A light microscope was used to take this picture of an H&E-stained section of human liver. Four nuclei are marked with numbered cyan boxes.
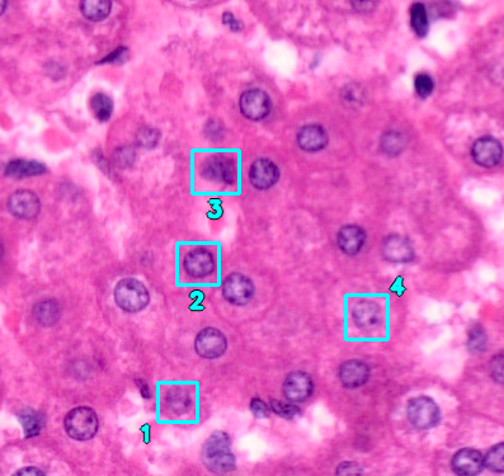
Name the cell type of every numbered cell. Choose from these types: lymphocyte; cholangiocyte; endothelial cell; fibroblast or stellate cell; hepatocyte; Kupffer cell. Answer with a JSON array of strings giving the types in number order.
["hepatocyte", "hepatocyte", "endothelial cell", "hepatocyte"]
